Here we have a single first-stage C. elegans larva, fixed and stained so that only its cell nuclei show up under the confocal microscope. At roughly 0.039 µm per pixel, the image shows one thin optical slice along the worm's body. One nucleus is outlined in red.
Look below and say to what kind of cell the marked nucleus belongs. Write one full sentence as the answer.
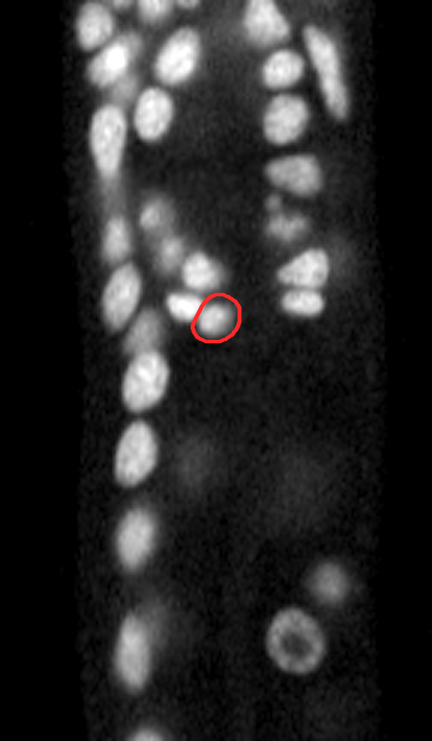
The cell with the marked nucleus is a valve cell of the gut.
